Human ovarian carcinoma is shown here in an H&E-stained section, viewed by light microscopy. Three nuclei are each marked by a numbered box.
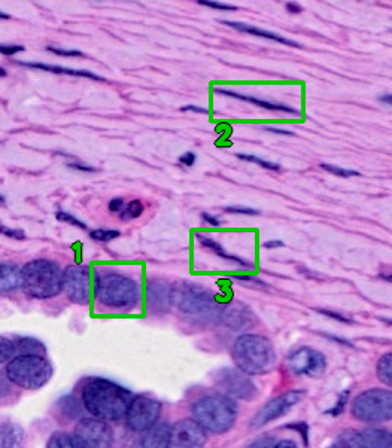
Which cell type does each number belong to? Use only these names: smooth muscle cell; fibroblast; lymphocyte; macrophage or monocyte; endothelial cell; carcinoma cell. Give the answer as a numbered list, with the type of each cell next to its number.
1. carcinoma cell
2. fibroblast
3. fibroblast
